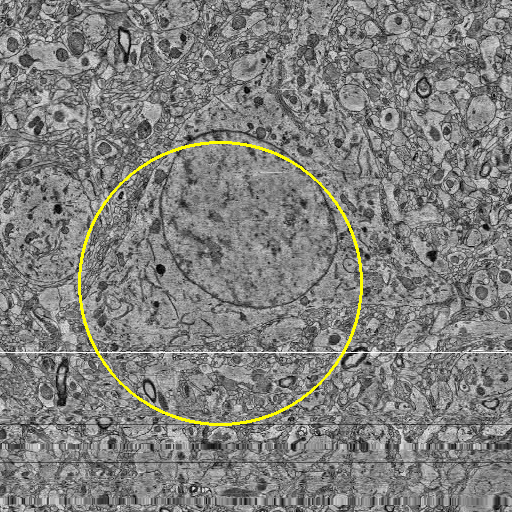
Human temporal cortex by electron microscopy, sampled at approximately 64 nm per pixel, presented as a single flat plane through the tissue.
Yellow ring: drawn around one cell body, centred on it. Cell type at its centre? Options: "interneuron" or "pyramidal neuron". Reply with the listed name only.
pyramidal neuron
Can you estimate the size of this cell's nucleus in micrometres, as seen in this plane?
The ringed cell's nucleus is about 13 micrometres long and 11 micrometres wide in this plane.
